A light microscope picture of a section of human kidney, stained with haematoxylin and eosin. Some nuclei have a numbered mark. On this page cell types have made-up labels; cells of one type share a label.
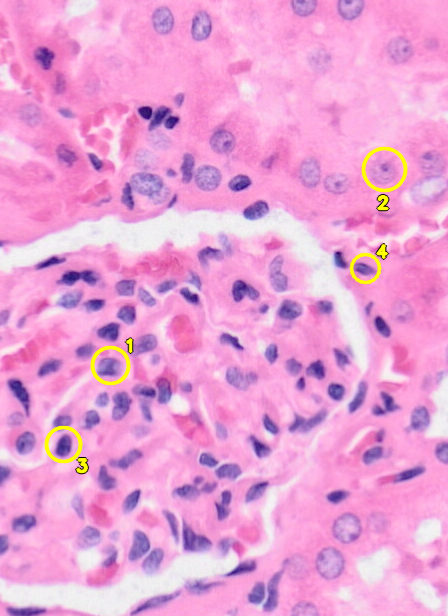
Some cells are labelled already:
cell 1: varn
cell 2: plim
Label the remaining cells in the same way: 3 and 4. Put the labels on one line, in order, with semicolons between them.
varn; varn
